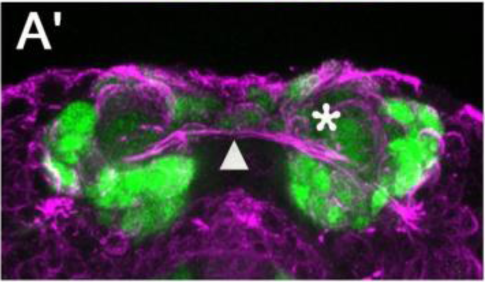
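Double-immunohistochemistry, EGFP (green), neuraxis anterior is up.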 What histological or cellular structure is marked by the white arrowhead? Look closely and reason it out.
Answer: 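A thin magenta fibre bundle crosses the midline between the two green cell groups. The arrowhead sits on this transverse bundle at the midline. That points to this answer: brain commissure.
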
